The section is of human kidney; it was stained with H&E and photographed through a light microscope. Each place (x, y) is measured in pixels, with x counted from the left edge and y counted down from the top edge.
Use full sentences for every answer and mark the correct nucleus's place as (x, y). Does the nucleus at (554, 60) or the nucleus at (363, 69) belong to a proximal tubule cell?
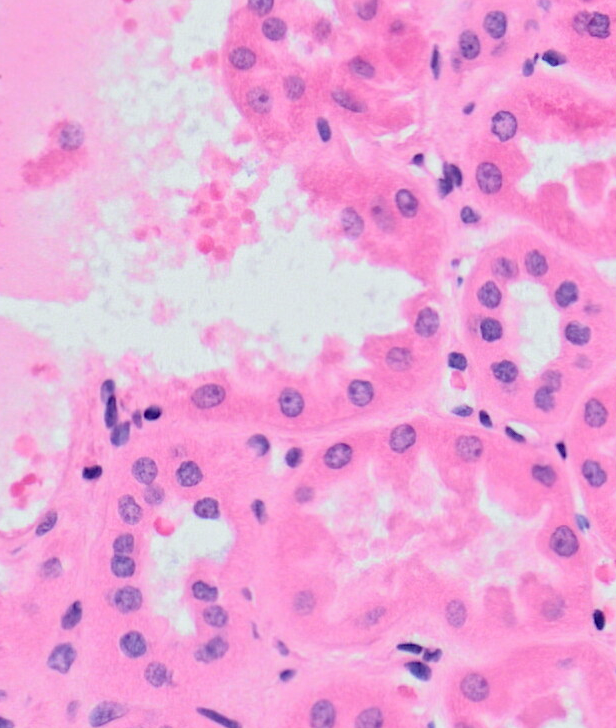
Of the two nuclei, the nucleus of a proximal tubule cell is at (363, 69).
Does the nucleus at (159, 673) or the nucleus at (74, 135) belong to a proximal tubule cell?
The nucleus at (74, 135) is part of a proximal tubule cell, while the other is not.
